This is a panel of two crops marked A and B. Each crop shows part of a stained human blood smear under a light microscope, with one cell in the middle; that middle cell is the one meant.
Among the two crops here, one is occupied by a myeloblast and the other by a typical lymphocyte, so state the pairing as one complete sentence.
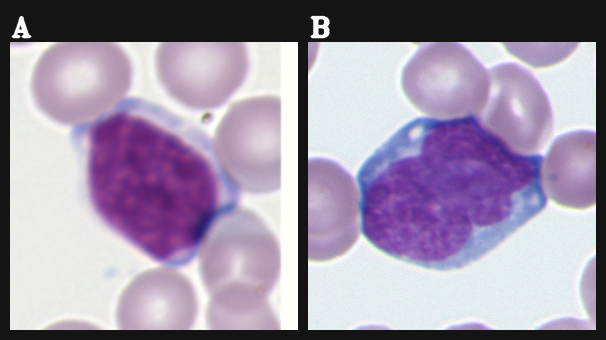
Here crop A is a typical lymphocyte, and crop B is a myeloblast.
